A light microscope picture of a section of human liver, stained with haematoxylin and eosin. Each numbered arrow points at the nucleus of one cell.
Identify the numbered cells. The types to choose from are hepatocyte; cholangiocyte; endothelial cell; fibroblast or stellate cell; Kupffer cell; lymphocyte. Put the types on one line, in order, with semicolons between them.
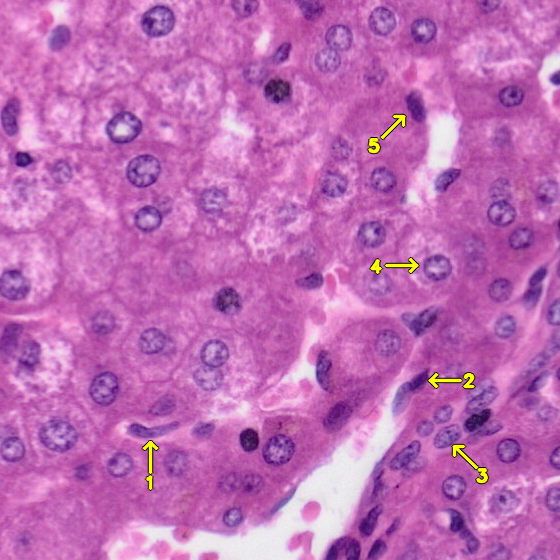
Kupffer cell; fibroblast or stellate cell; cholangiocyte; hepatocyte; fibroblast or stellate cell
